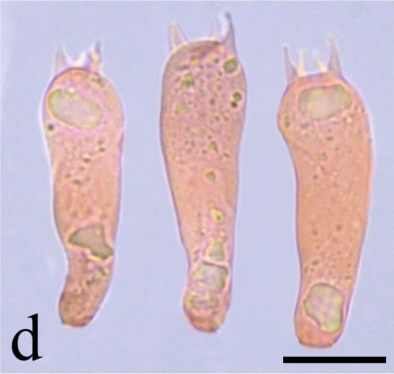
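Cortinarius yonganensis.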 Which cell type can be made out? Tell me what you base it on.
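Elongated club-shaped cells, broader at the top. Slender prongs project from the broad apex. Granular pinkish cytoplasm with rounded droplets.
Answer: Basidium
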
